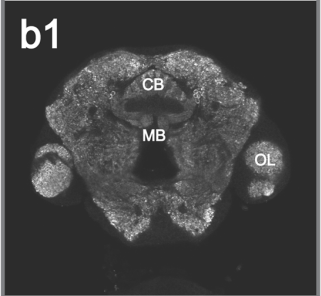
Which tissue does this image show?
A: Brain.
